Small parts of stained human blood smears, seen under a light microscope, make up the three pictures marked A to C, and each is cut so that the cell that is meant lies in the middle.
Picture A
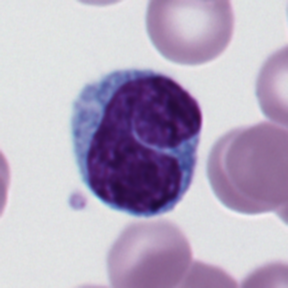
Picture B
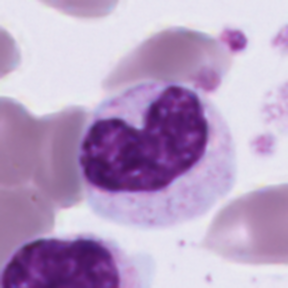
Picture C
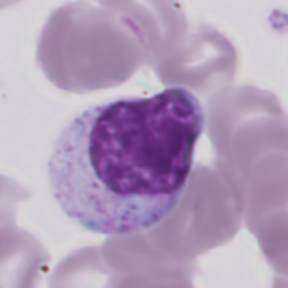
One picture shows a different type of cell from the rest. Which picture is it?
A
